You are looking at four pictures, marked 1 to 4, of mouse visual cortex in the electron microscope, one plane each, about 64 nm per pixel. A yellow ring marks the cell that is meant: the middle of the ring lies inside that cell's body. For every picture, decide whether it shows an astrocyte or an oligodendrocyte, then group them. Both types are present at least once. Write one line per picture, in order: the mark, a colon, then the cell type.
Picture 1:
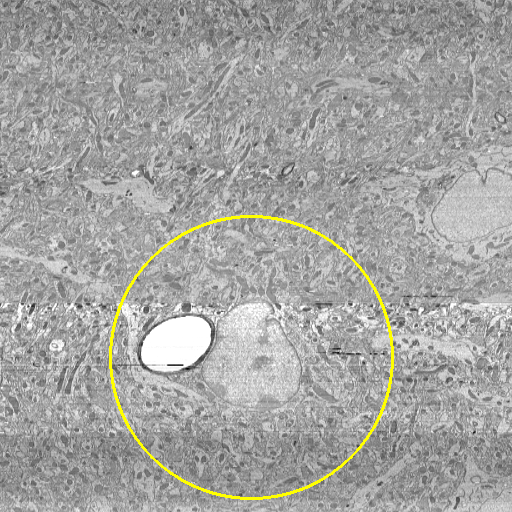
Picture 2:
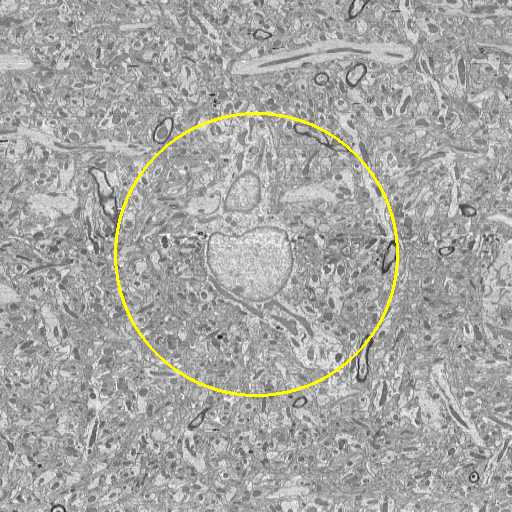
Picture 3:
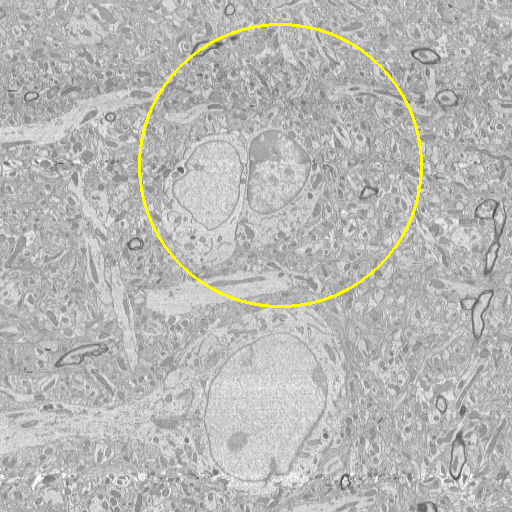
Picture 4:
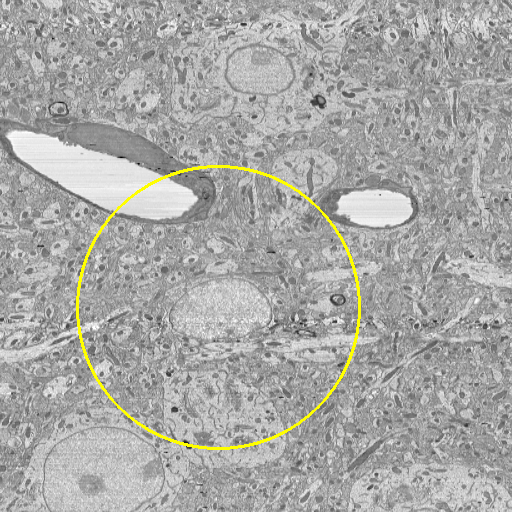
1: astrocyte
2: astrocyte
3: oligodendrocyte
4: astrocyte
